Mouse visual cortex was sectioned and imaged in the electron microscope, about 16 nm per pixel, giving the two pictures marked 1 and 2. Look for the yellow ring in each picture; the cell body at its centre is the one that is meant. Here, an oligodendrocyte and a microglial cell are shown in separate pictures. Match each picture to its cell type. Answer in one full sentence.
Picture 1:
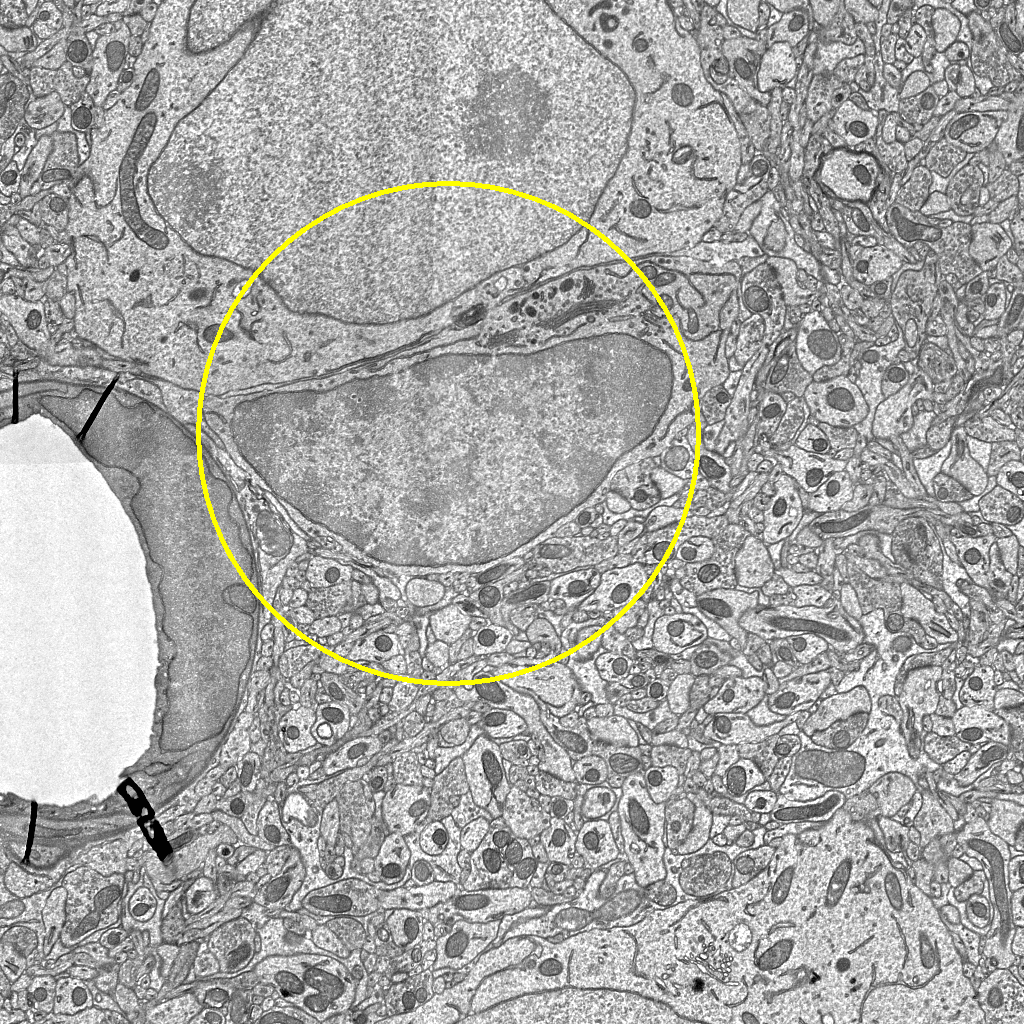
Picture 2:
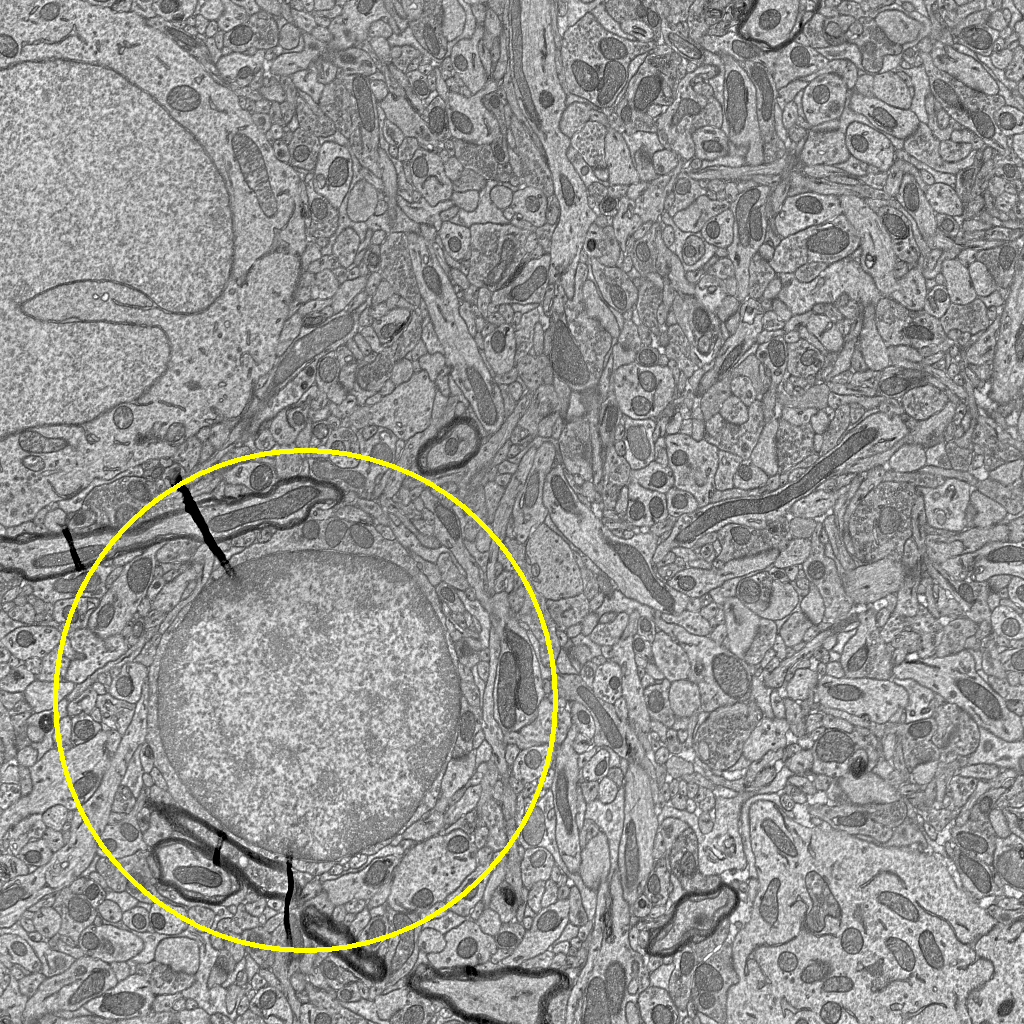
It is picture 1 that shows a microglial cell, and picture 2 that shows an oligodendrocyte.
